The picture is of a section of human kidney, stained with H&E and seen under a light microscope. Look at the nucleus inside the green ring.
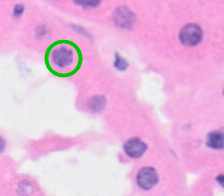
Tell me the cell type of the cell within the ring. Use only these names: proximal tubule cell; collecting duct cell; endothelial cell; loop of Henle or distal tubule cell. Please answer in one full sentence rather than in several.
In this section of tissue, the cell within the ring is a loop of Henle or distal tubule cell.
